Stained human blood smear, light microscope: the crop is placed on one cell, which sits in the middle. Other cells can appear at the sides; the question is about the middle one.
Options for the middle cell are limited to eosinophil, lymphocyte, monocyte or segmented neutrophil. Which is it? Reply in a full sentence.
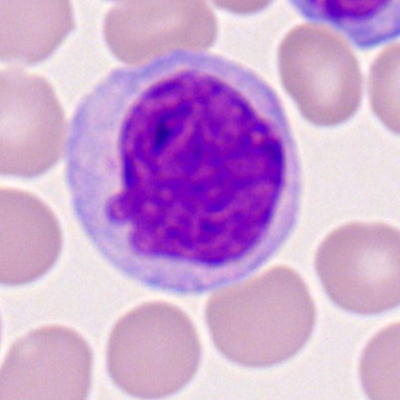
The middle of this crop holds a monocyte.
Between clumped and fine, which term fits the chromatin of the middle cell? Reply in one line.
Thanks for asking; the chromatin is coarsely clumped.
